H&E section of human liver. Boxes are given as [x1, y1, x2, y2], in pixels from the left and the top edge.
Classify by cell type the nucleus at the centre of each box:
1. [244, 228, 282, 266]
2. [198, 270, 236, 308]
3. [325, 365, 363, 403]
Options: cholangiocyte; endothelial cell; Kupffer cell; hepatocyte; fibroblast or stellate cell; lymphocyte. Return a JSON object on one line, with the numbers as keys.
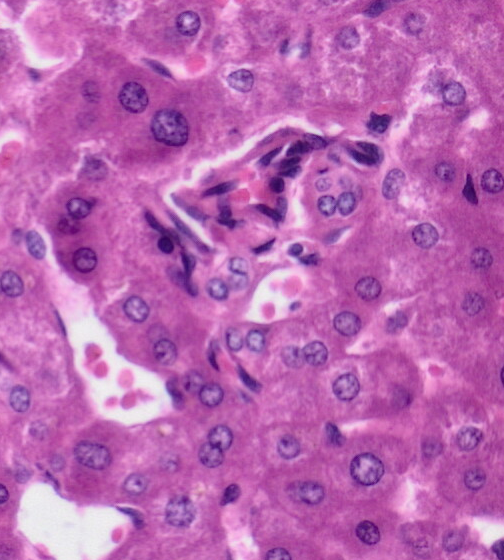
{"1": "fibroblast or stellate cell", "2": "cholangiocyte", "3": "hepatocyte"}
